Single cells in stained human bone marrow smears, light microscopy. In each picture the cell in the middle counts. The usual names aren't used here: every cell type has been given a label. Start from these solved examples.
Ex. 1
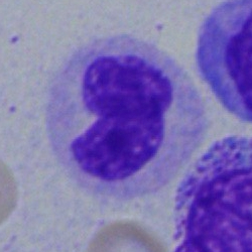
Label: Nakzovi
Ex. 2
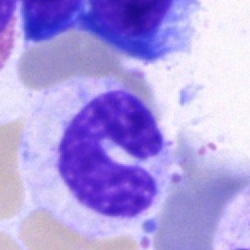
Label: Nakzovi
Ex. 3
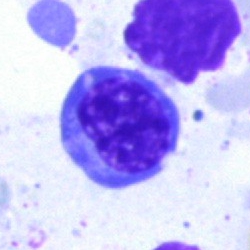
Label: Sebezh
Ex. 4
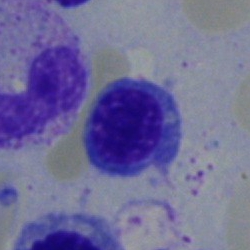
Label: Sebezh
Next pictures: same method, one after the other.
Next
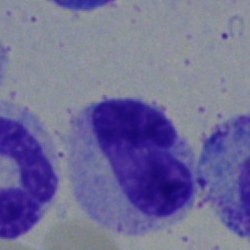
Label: Nakzovi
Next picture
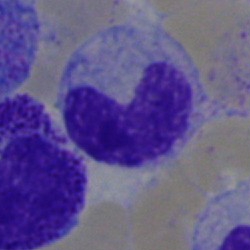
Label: Nakzovi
